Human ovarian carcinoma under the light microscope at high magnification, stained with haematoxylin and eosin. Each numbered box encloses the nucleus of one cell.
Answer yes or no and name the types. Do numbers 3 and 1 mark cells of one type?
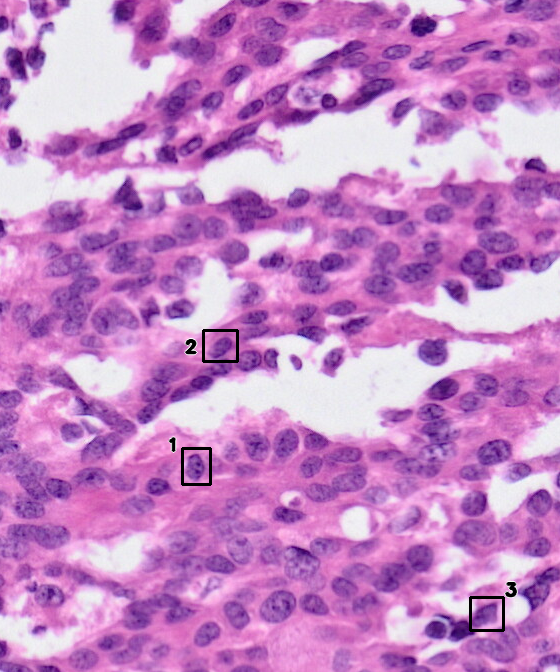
No, cell 3 is a carcinoma cell and cell 1 is a macrophage or monocyte.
